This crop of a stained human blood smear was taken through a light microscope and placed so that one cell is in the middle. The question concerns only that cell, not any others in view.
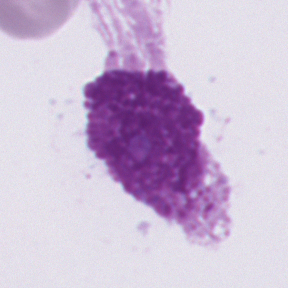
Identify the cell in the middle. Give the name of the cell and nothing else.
smudge cell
